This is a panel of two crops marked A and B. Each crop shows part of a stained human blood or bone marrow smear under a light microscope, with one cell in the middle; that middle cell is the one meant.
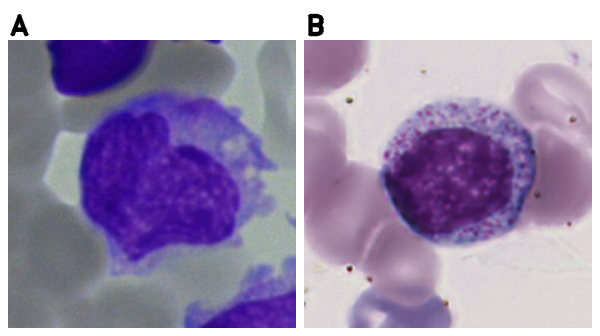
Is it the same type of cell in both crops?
no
